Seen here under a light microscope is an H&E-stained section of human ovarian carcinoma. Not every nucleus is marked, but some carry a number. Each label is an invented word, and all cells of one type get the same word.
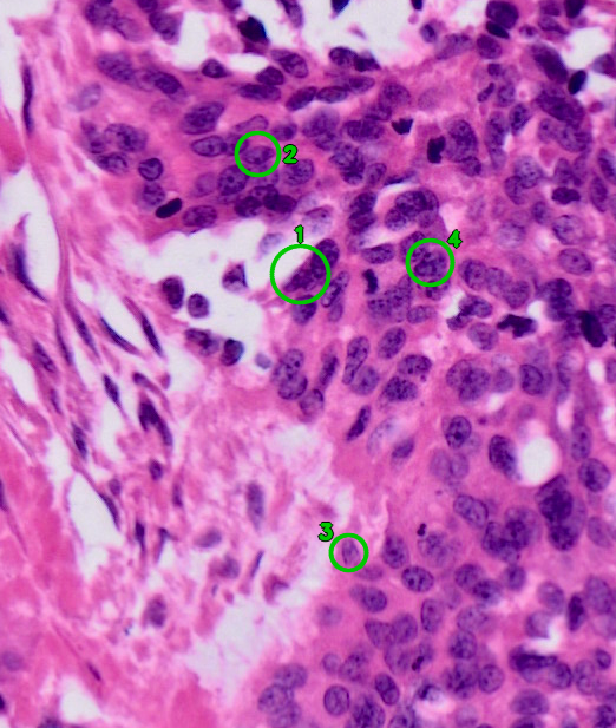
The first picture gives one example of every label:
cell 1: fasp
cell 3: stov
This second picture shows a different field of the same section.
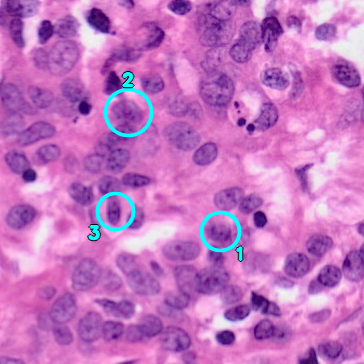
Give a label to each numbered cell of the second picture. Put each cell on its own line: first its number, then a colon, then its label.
1: fasp
2: fasp
3: stov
